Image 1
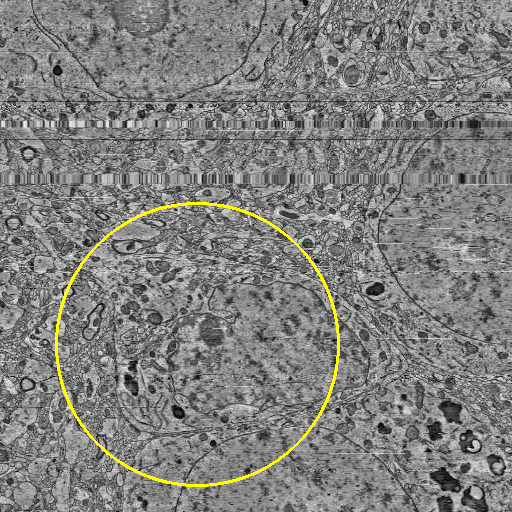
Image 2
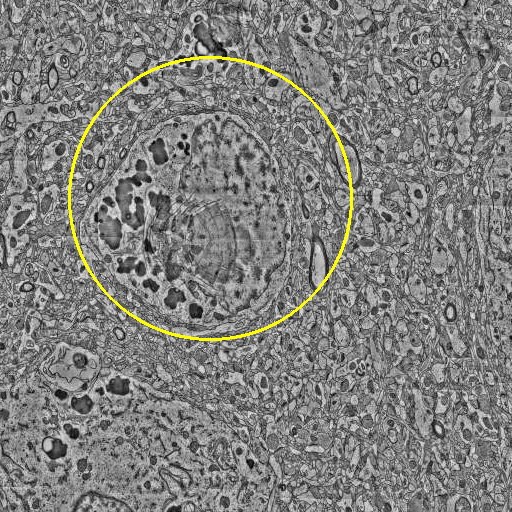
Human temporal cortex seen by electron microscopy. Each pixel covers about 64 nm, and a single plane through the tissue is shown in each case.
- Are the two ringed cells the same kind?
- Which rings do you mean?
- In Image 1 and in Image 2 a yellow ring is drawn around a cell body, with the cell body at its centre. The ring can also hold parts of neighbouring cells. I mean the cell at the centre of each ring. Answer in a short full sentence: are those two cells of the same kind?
Yes, both cells are of the same kind.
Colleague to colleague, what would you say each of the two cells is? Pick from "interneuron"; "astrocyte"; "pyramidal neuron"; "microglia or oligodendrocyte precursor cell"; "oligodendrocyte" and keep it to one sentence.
Each cell, in the first picture and the second, is an interneuron.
